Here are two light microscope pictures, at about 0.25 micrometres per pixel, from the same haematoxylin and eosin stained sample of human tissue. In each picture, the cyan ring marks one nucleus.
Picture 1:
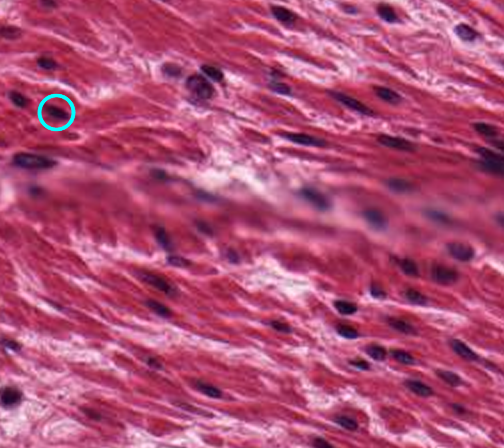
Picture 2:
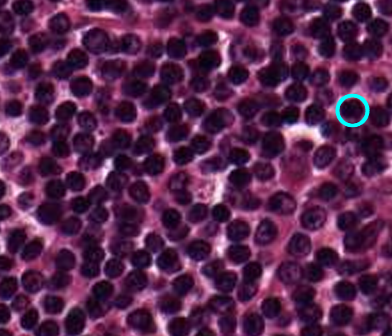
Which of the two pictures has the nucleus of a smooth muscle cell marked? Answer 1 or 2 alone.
1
